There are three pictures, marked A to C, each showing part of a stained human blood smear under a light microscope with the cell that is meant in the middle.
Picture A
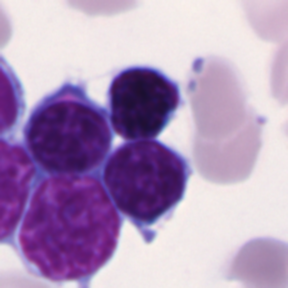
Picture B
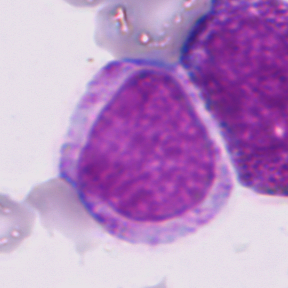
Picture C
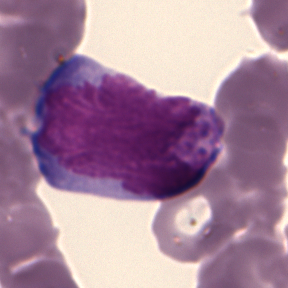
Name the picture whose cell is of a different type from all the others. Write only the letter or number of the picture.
B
